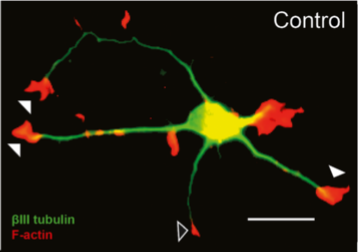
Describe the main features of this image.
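The cell body and the neurite shafts are green, the body appearing yellow where green and red overlap. Most neurites end in broad, flattened red growth cones that fan out well beyond the tip of the green shaft, the uncollapsed form. One thin neurite ends with only a small red tip, a collapsed growth cone. Small red patches also lie along the neurite shafts.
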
